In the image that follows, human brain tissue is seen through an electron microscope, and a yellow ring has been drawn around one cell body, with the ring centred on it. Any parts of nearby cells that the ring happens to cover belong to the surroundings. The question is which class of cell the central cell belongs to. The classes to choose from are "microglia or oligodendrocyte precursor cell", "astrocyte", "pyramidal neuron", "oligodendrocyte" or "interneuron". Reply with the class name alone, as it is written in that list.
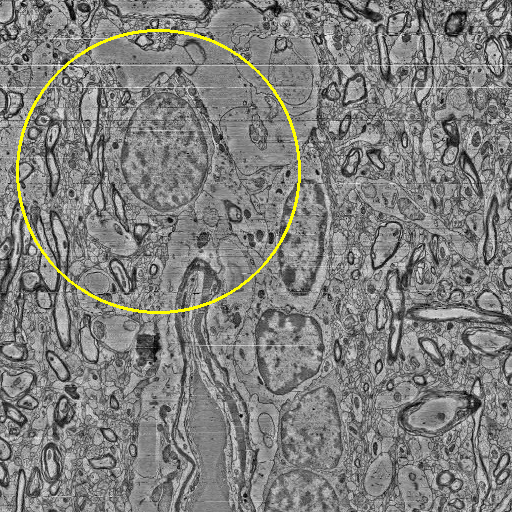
oligodendrocyte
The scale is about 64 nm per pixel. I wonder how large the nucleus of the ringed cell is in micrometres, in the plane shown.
In this plane, roughly 8 by 6 micrometres.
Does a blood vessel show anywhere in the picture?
Yes.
